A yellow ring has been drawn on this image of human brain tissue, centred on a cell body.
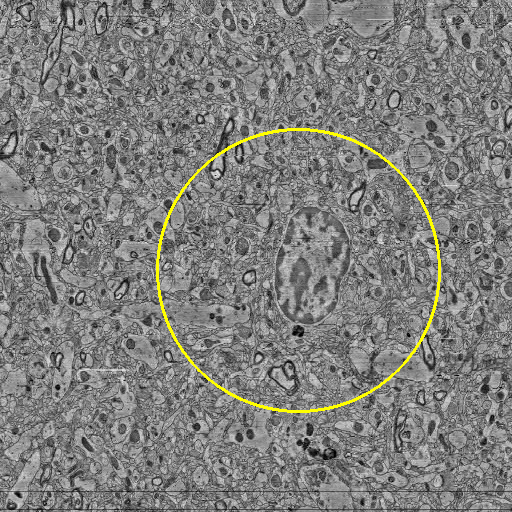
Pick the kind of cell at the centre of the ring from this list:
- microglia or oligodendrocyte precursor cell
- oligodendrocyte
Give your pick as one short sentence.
The centre of the ring holds a microglial cell or oligodendrocyte precursor cell.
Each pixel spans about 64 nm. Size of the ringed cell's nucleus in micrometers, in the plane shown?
About 7 by 5 micrometers in this plane, so the nucleus is clearly longer than it is wide.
